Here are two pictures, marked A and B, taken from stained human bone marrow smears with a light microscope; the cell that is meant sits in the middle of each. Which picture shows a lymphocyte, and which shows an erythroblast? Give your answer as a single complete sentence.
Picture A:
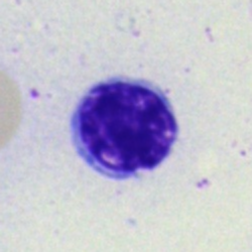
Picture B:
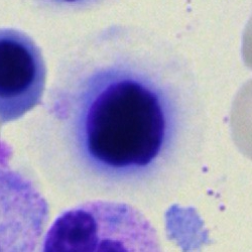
It is picture A that shows a lymphocyte, and picture B that shows an erythroblast.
